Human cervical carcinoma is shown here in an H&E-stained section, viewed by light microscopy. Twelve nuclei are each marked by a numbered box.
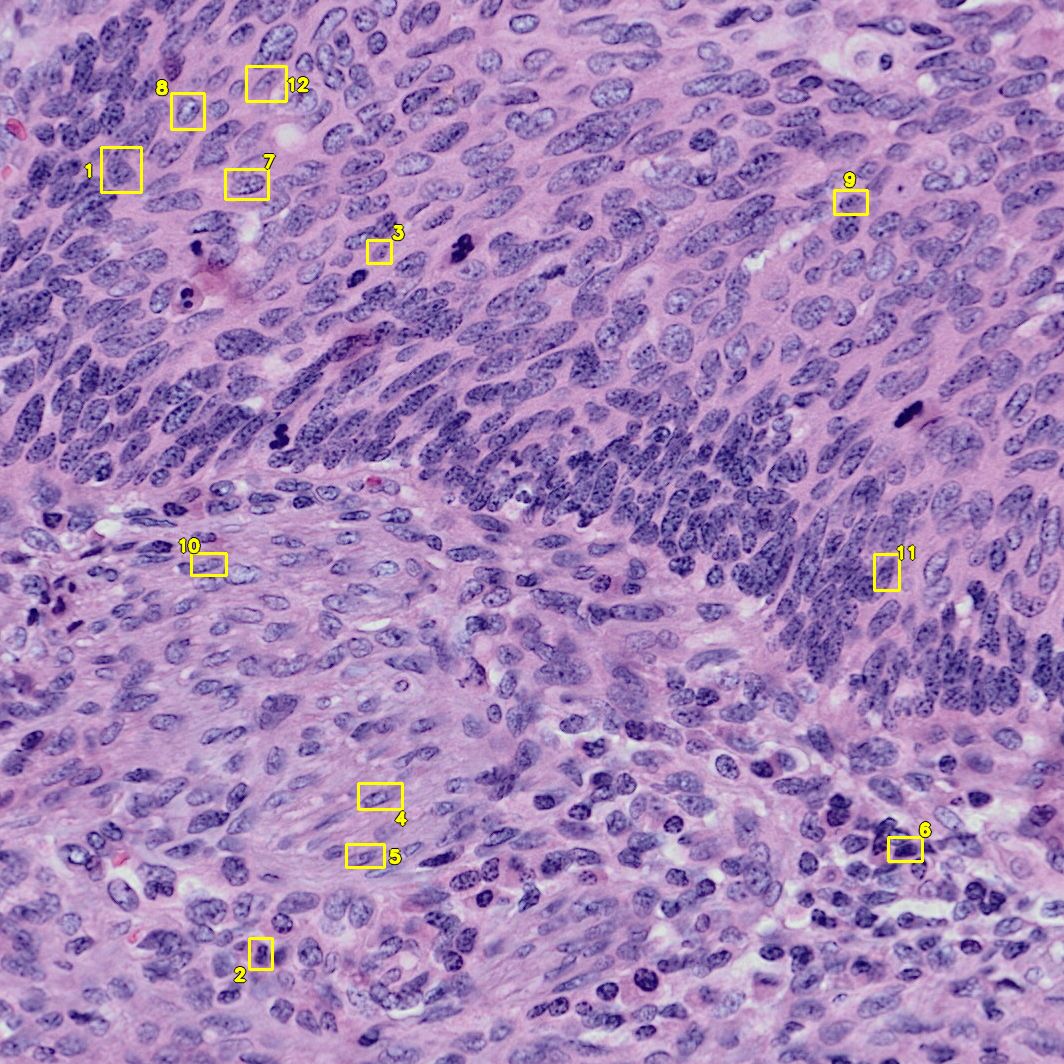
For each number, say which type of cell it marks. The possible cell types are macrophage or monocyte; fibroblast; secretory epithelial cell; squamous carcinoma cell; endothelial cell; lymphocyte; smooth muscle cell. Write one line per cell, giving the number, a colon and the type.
1: squamous carcinoma cell
2: lymphocyte
3: squamous carcinoma cell
4: smooth muscle cell
5: smooth muscle cell
6: lymphocyte
7: squamous carcinoma cell
8: squamous carcinoma cell
9: squamous carcinoma cell
10: smooth muscle cell
11: squamous carcinoma cell
12: squamous carcinoma cell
